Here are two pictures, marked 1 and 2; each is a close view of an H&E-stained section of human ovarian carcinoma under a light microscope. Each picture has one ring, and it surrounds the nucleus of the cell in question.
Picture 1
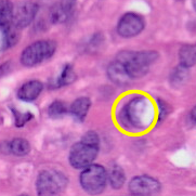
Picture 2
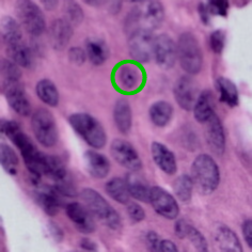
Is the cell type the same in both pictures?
yes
